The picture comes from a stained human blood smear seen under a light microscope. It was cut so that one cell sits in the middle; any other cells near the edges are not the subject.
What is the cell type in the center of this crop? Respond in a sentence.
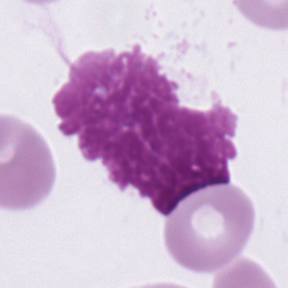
Present in the middle of the crop is a smudge cell.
